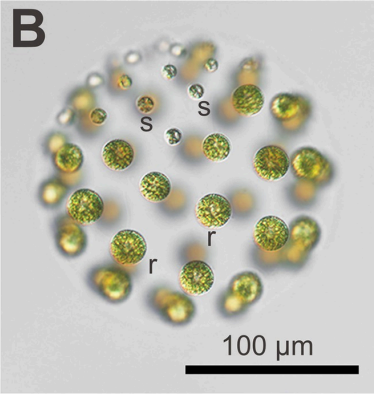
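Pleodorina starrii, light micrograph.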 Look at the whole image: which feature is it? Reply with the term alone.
Mature asexual colony.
